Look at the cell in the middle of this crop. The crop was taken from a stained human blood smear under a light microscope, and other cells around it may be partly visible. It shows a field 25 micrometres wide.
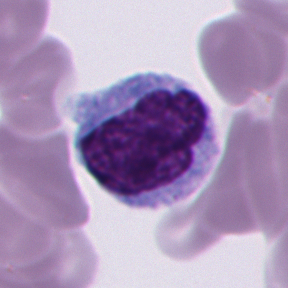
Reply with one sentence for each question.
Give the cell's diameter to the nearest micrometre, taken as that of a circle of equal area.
The cell is about 12 micrometres across.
